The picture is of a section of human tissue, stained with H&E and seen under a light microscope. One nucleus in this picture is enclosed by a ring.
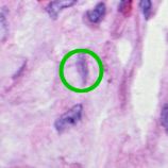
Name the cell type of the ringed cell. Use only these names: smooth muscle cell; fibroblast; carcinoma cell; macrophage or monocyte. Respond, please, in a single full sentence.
Considered by cell type, the ringed cell is a fibroblast.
